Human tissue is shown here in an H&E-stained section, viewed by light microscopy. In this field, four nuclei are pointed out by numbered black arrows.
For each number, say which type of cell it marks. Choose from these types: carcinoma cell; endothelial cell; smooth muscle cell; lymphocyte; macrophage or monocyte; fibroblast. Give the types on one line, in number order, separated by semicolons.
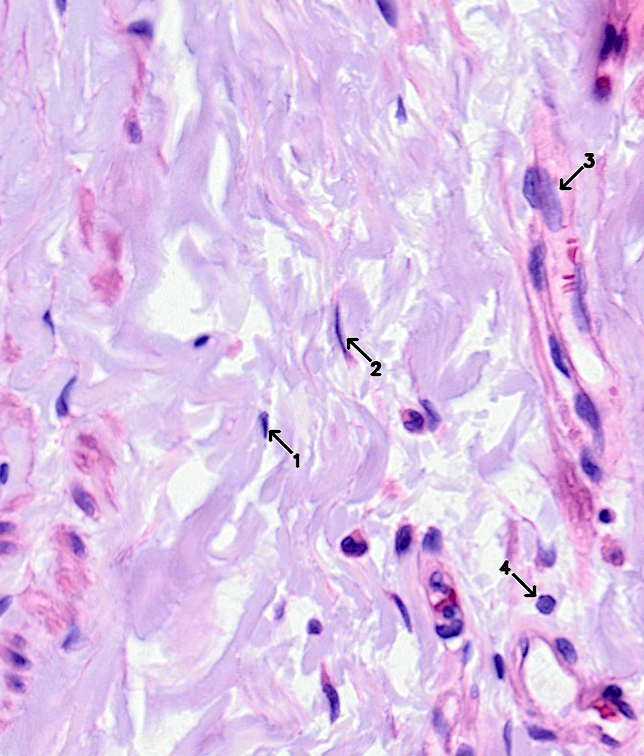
fibroblast; fibroblast; endothelial cell; lymphocyte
